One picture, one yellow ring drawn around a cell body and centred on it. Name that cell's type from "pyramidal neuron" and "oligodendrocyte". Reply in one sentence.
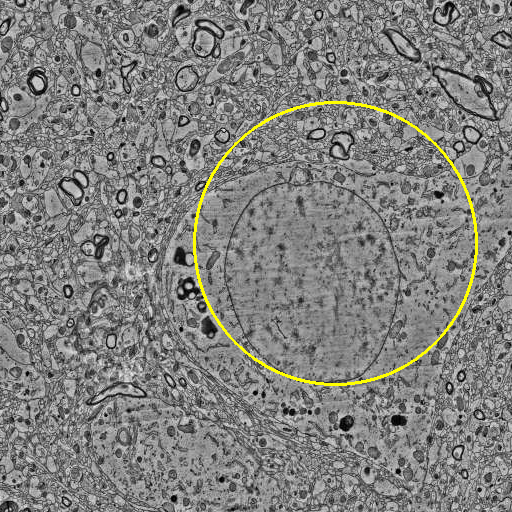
Centred in the ring is a pyramidal neuron.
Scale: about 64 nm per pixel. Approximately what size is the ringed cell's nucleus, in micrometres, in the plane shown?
In this plane the nucleus measures roughly 13 by 11 micrometers.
